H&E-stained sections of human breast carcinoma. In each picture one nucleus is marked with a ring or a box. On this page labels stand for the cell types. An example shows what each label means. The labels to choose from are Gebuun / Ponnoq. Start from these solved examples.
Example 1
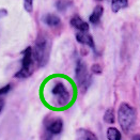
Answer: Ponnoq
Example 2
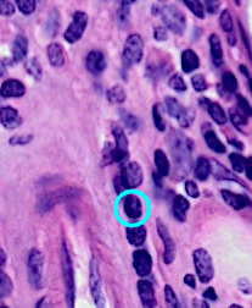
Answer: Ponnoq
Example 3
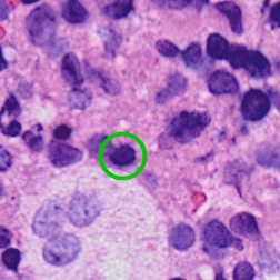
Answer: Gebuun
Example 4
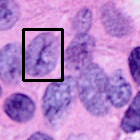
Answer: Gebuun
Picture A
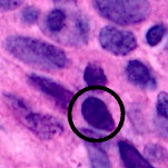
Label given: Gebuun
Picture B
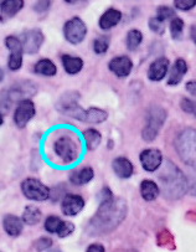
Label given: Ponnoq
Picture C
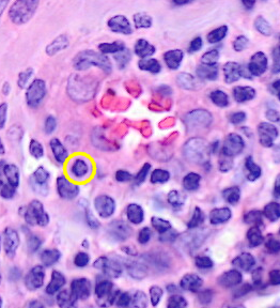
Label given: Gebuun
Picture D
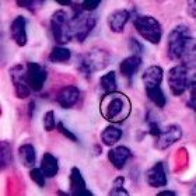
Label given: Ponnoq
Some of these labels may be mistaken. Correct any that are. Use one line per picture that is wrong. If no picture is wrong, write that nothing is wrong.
C should be Ponnoq, not Gebuun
